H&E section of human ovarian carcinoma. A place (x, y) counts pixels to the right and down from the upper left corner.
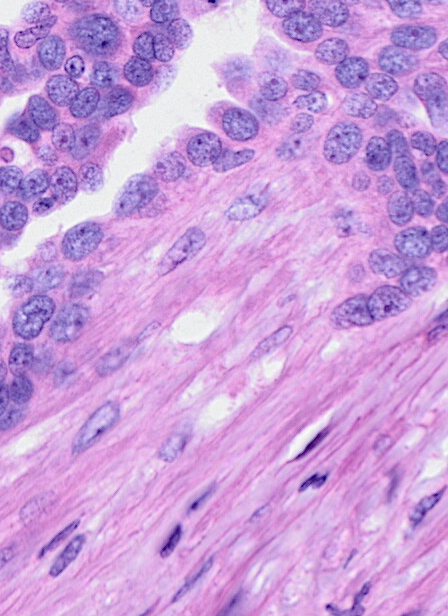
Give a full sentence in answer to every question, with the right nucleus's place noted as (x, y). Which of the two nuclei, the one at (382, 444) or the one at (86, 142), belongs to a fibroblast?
Housed in a fibroblast is the nucleus at (382, 444), not the other one.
